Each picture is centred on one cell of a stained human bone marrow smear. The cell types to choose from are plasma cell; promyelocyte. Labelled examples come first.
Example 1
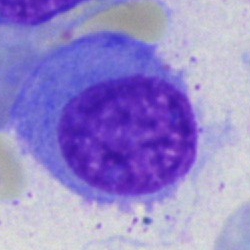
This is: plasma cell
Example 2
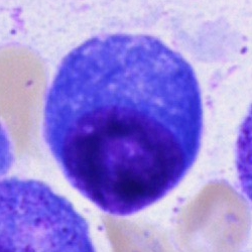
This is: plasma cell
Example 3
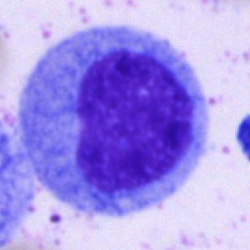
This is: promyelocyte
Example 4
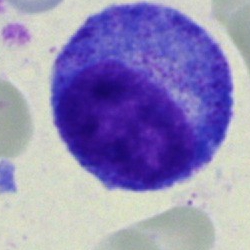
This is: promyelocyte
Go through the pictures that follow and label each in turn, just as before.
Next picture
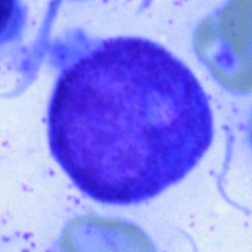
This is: promyelocyte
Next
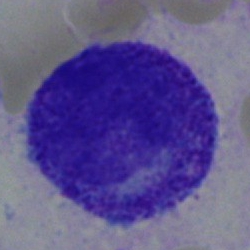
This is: promyelocyte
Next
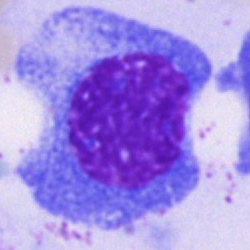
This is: plasma cell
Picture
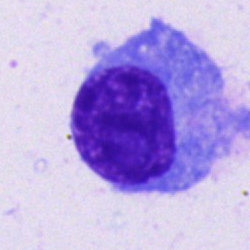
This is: plasma cell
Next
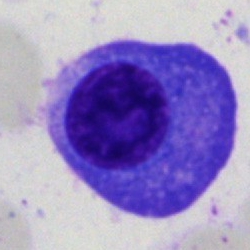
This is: plasma cell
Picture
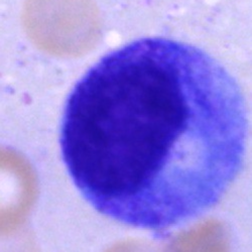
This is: promyelocyte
